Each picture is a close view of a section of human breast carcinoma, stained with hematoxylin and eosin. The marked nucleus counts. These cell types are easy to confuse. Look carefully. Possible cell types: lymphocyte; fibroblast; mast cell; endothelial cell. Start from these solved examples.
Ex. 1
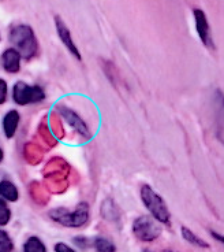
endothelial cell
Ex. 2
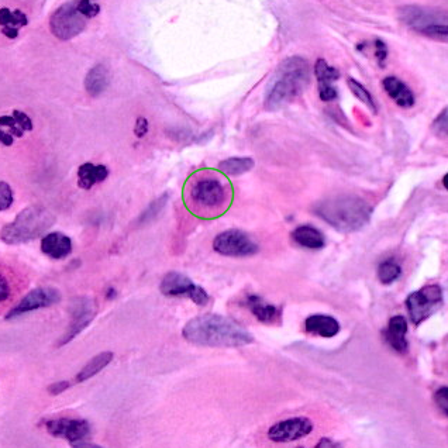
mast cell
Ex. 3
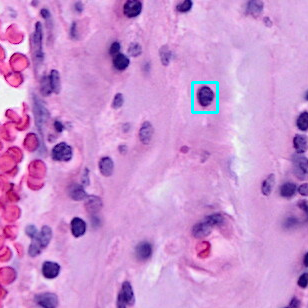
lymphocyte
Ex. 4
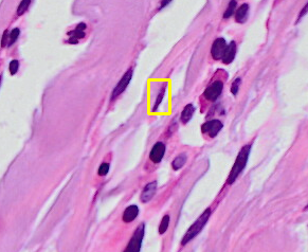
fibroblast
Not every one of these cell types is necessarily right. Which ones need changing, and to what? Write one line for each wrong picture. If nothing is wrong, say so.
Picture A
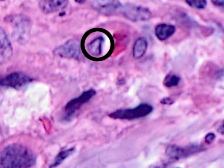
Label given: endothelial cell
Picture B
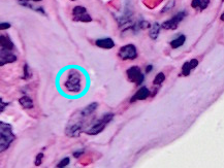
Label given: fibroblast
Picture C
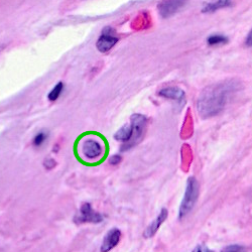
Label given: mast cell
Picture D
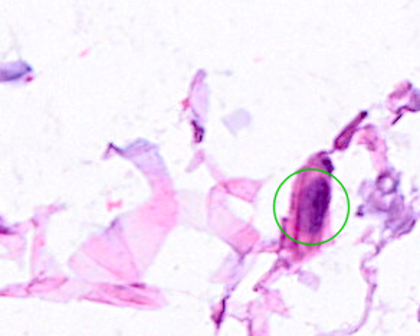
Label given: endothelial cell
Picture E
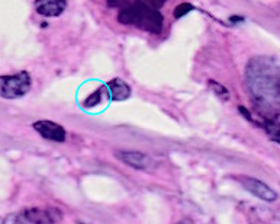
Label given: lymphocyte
Wrong: B (fibroblast); correct: mast cell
